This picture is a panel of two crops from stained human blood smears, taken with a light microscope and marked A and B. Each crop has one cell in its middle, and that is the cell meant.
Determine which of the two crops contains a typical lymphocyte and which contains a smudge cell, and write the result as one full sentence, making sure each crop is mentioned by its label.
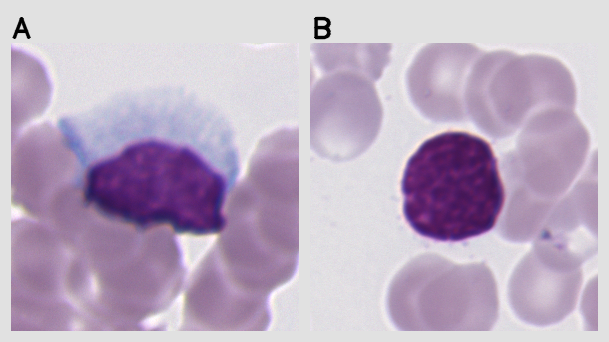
Crop A is identified as a typical lymphocyte, and crop B is identified as a smudge cell.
